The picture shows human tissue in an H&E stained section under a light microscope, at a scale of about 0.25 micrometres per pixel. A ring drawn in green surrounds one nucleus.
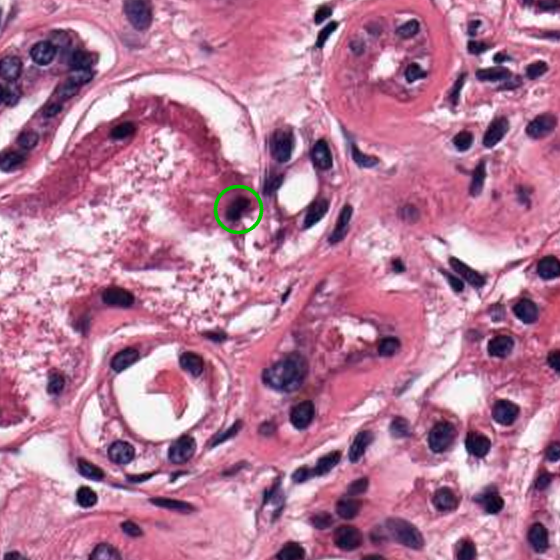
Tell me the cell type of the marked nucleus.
proximal tubule cell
